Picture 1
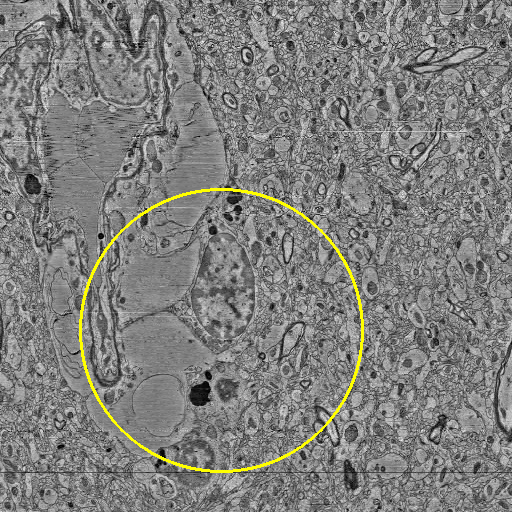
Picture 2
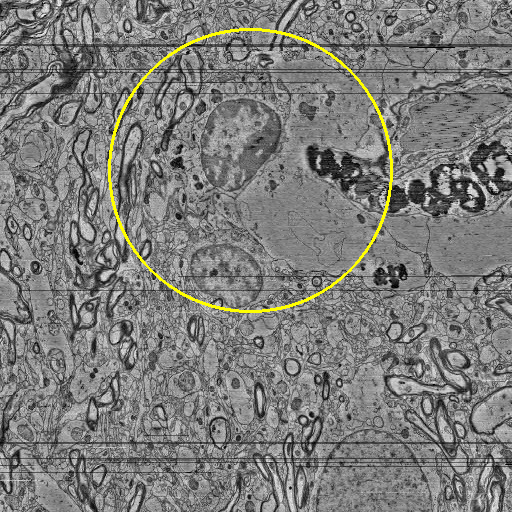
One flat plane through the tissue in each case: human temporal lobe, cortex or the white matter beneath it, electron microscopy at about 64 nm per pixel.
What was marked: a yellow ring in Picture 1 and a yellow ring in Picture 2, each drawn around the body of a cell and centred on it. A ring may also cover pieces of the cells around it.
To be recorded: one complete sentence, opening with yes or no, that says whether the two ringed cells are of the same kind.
Yes, the two ringed cells are of the same kind.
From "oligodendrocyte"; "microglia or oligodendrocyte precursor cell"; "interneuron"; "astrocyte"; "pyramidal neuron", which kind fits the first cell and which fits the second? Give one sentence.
Each cell, in the first picture and the second, is a microglial cell or oligodendrocyte precursor cell.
